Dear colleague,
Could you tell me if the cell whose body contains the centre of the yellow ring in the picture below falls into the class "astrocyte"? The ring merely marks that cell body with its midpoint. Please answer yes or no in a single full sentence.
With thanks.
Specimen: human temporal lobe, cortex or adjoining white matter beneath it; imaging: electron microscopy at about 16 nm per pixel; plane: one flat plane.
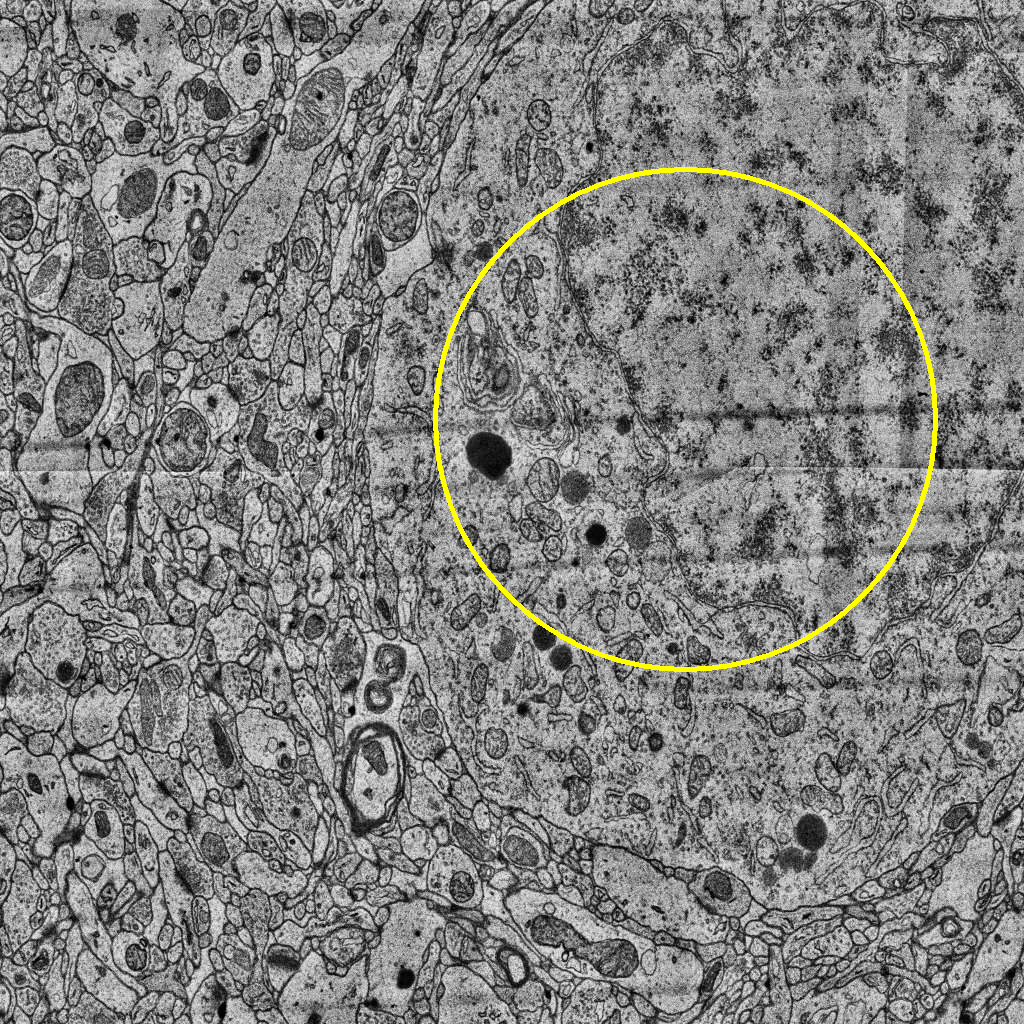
No, the cell containing the centre of the ring in your picture falls into a different class.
